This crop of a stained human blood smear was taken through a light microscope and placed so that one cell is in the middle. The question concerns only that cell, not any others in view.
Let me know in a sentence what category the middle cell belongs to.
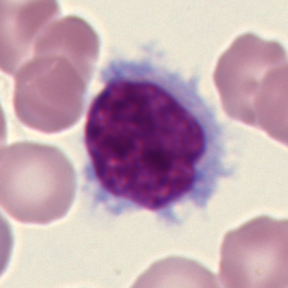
What the crop centres on is a hairy cell.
